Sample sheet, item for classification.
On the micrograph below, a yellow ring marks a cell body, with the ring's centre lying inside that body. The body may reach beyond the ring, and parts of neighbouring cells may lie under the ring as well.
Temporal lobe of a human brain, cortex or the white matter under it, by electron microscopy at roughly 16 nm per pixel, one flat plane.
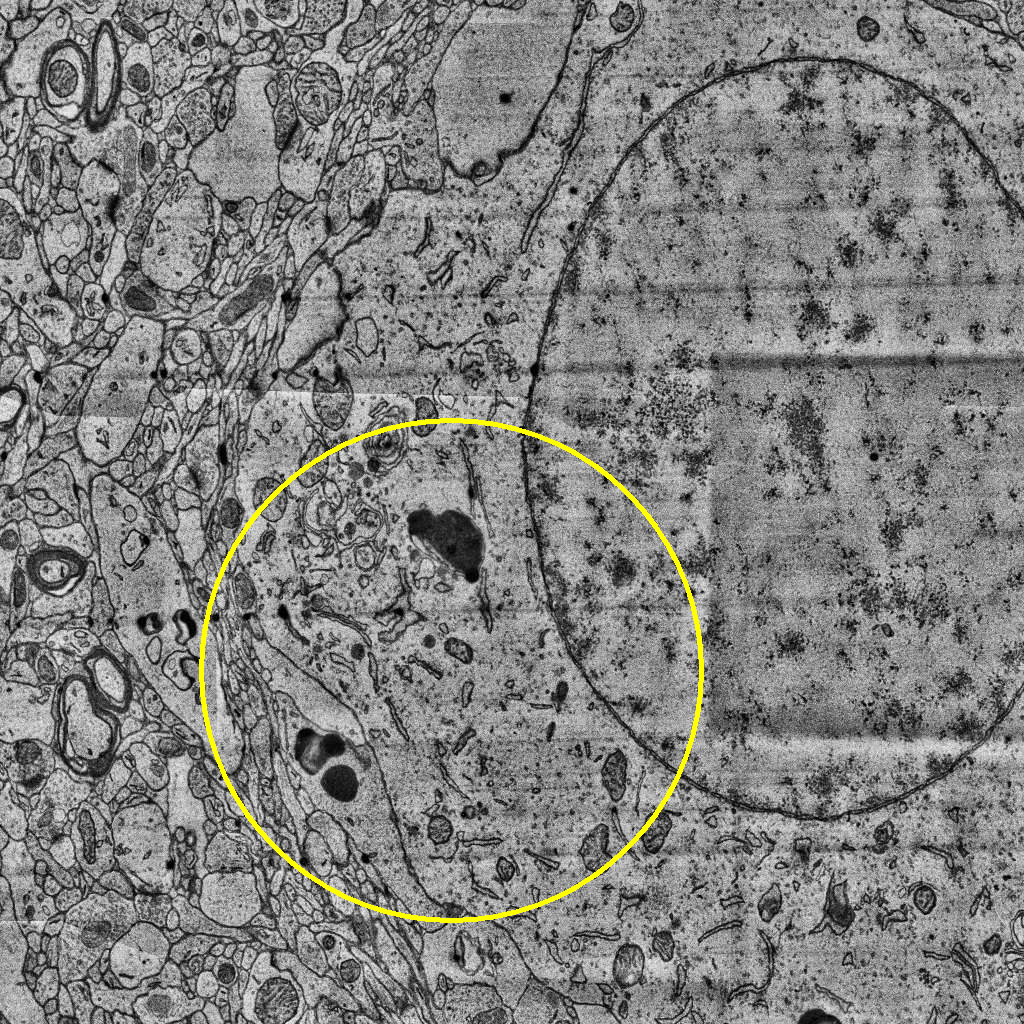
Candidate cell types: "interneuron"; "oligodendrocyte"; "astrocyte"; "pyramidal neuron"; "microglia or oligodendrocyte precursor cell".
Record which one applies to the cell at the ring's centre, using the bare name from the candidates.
microglia or oligodendrocyte precursor cell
